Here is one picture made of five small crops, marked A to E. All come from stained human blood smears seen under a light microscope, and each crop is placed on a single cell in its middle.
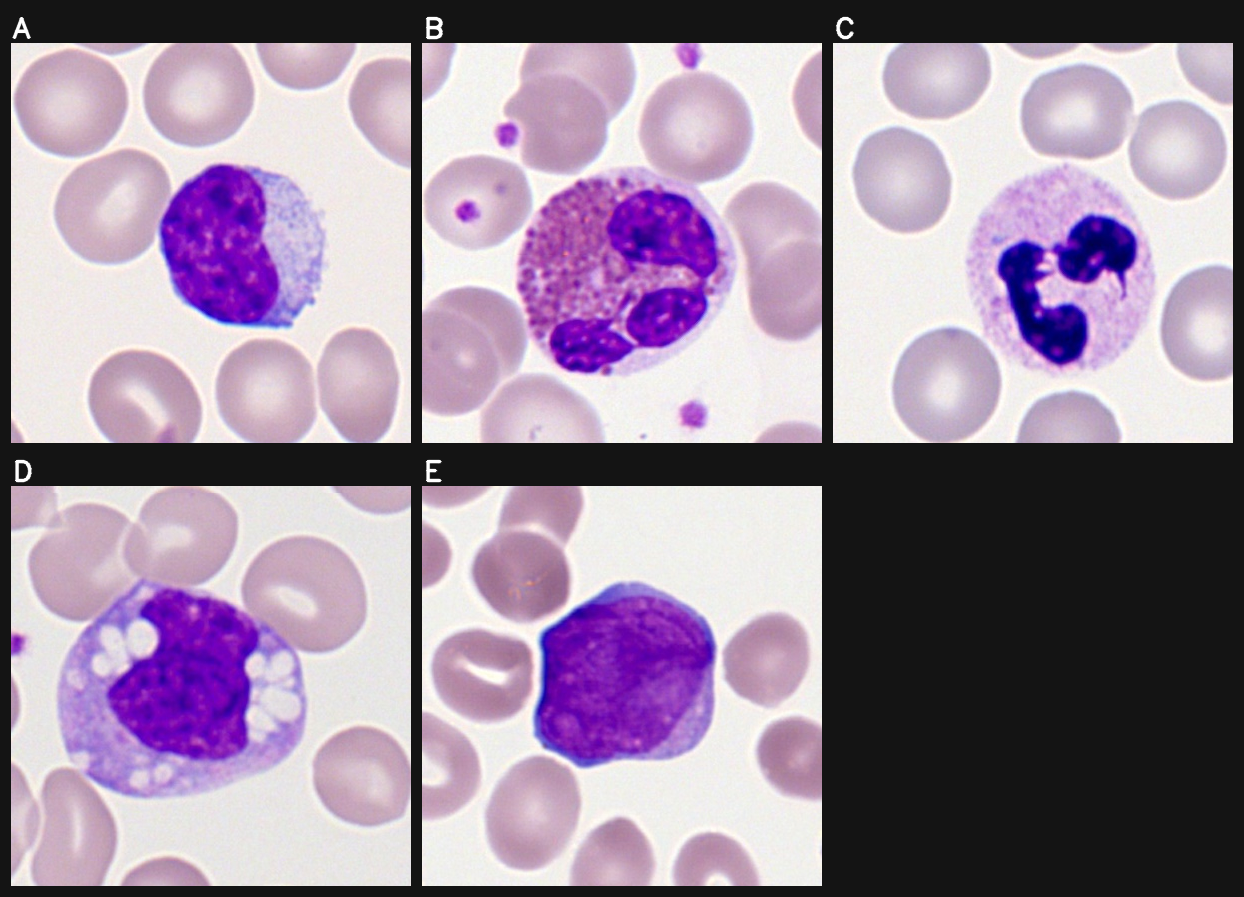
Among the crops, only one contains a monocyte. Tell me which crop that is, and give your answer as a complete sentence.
Among the crops provided, a monocyte occupies the center of crop D.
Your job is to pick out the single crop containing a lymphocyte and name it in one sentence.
Among all the crops given here, the one with a lymphocyte is crop A.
